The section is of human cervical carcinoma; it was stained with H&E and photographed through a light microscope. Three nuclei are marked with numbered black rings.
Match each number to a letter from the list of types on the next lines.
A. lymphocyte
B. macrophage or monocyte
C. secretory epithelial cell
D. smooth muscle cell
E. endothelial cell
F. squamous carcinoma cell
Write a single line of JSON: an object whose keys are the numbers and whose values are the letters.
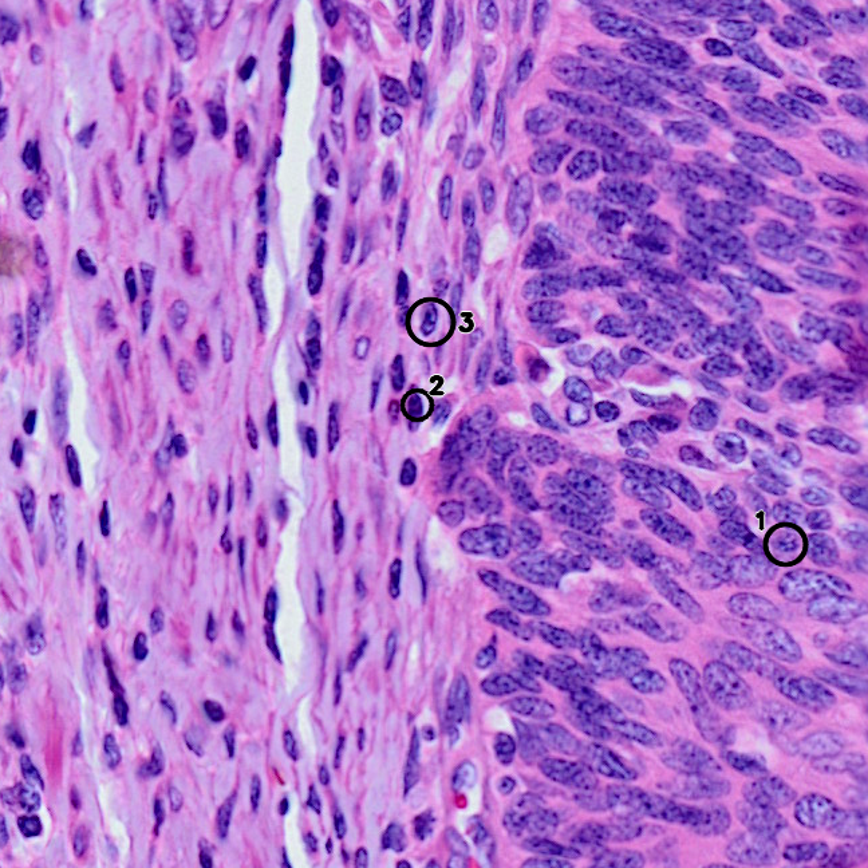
{"1": "F", "2": "A", "3": "A"}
